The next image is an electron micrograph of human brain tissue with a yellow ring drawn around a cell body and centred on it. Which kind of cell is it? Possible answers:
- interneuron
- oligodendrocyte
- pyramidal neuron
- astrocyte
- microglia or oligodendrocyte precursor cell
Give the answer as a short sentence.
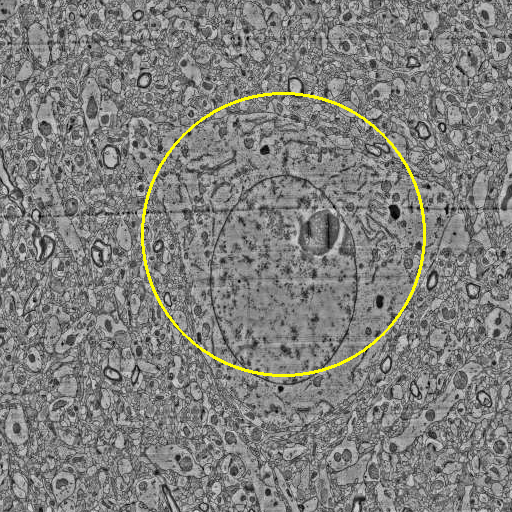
In the ring's centre is a pyramidal neuron.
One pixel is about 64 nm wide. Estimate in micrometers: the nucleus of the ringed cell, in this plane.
Approximately 13 micrometres long and 9 micrometres wide, in this plane.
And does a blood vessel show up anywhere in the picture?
No.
